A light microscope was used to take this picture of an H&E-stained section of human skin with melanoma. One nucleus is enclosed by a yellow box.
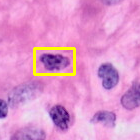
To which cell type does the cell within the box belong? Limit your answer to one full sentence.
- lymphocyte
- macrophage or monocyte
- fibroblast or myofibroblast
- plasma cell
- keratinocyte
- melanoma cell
In this section, the cell within the box is a lymphocyte.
